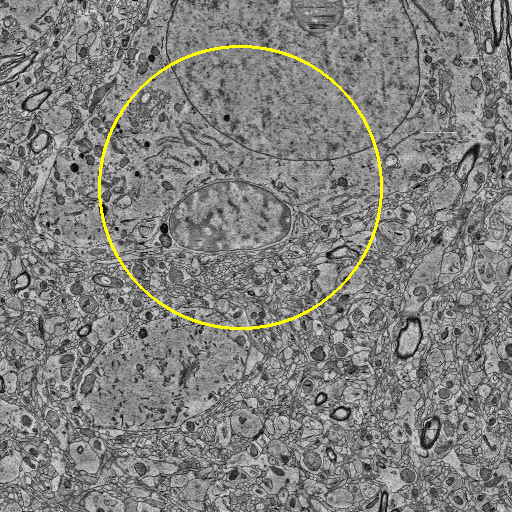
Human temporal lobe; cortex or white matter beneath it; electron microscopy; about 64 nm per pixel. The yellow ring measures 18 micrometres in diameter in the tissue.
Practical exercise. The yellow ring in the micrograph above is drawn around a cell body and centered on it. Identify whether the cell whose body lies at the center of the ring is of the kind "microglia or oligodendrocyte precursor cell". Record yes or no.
yes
